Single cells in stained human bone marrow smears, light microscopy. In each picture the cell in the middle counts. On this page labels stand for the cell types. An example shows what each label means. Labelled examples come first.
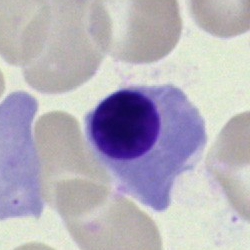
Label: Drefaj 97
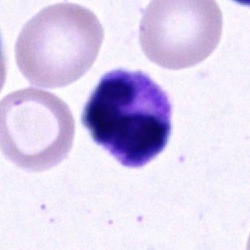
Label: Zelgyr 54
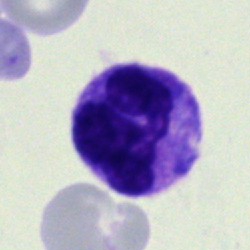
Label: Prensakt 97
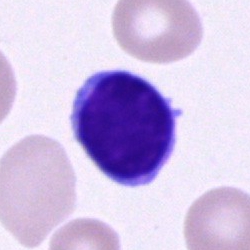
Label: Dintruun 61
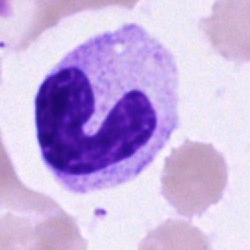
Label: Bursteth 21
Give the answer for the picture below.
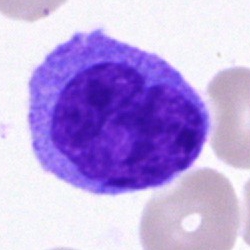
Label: Prensakt 97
